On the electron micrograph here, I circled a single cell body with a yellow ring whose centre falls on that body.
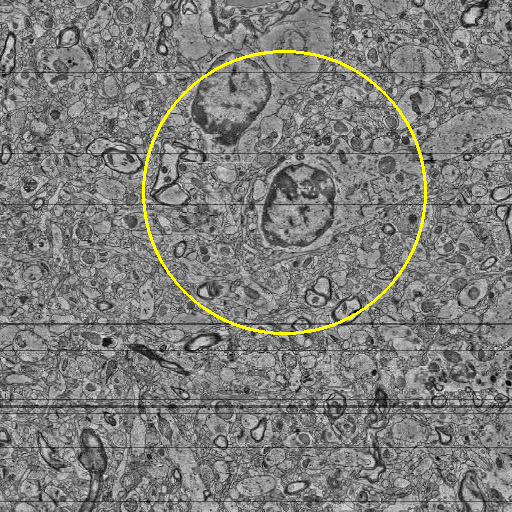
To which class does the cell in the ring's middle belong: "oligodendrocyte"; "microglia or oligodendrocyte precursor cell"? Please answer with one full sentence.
In this picture, the cell body circled at the ring's centre belongs to a microglial cell or oligodendrocyte precursor cell.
